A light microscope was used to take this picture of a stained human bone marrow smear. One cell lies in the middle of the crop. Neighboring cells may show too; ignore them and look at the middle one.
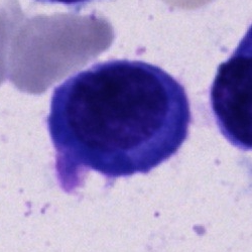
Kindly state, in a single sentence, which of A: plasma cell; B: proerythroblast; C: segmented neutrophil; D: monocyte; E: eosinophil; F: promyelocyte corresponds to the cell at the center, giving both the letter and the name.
What sits in the middle of the crop is a plasma cell, and option A is correct.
